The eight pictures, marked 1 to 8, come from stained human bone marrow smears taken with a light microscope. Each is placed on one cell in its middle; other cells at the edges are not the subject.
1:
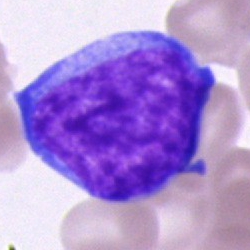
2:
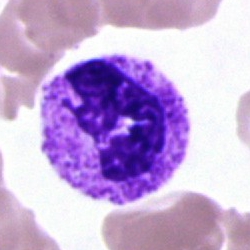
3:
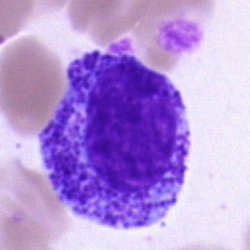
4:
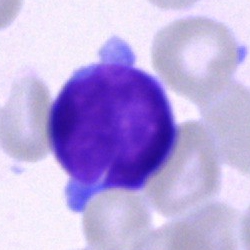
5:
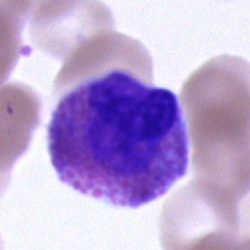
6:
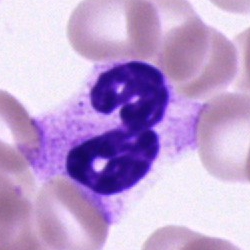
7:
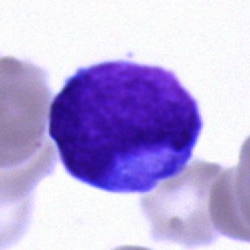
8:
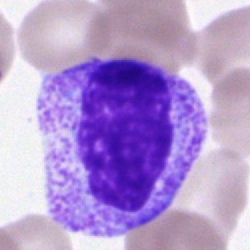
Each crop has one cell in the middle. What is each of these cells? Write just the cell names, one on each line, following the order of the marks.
blast
segmented neutrophil
promyelocyte
blast
eosinophil
segmented neutrophil
blast
myelocyte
